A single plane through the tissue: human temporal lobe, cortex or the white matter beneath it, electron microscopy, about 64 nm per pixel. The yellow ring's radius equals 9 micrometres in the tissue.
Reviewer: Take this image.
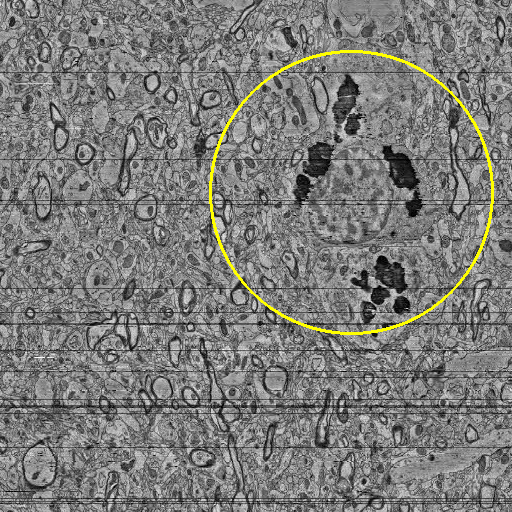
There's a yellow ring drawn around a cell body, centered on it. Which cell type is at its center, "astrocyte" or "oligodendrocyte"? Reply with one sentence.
At the center of the yellow ring is an oligodendrocyte.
